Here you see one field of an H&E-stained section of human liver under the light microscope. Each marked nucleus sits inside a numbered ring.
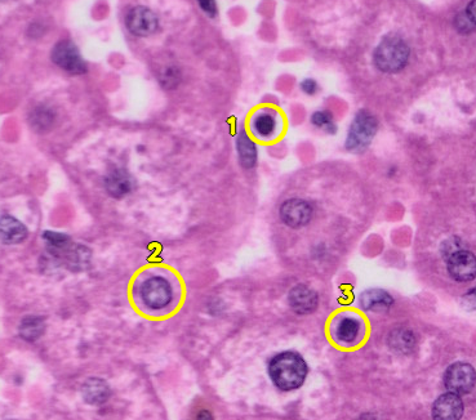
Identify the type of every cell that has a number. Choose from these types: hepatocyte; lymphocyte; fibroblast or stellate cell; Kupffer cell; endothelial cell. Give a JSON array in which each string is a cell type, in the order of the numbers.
["lymphocyte", "hepatocyte", "fibroblast or stellate cell"]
